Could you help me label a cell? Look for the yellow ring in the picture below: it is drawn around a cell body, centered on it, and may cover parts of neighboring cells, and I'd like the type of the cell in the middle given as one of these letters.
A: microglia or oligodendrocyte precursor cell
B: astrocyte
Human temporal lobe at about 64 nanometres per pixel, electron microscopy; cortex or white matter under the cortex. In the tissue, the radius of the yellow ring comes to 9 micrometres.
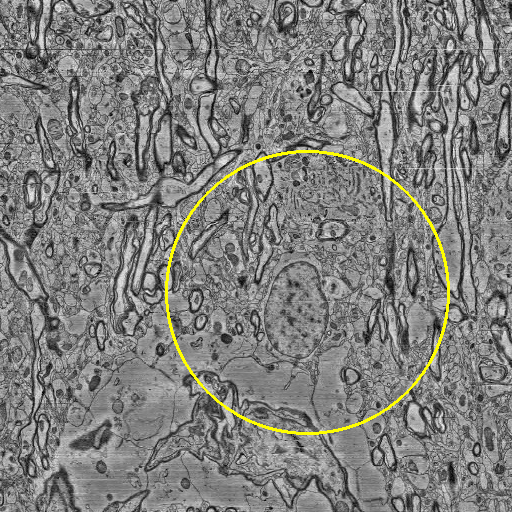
A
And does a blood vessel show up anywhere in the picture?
Yes, a vessel appears in the picture.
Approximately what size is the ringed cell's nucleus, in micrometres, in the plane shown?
Roughly 6 micrometres by 4 micrometres, so the nucleus is clearly longer than it is wide in this plane.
